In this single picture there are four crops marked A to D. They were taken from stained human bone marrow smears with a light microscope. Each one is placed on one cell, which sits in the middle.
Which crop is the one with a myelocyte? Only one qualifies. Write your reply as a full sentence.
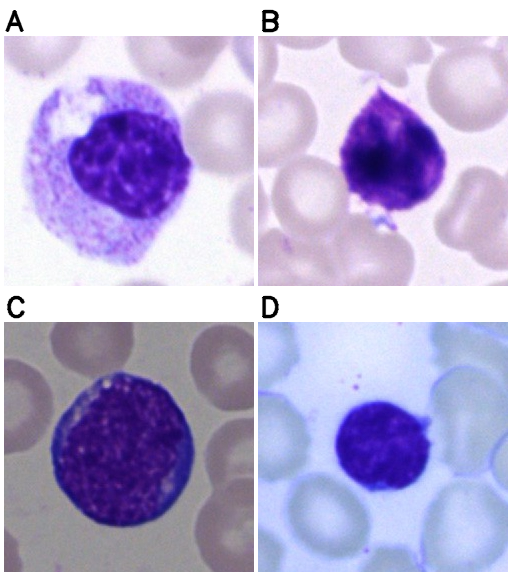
Of these crops, it is crop A that shows a myelocyte.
